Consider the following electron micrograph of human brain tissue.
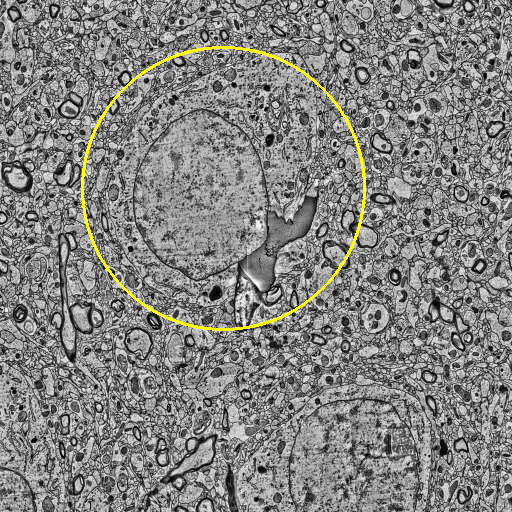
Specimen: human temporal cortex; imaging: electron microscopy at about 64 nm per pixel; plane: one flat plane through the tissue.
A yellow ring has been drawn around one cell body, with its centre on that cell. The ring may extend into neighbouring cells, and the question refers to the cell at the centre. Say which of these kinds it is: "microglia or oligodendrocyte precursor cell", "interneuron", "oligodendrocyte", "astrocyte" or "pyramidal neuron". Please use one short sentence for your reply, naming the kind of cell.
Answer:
The centre of the ring falls on a pyramidal neuron.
